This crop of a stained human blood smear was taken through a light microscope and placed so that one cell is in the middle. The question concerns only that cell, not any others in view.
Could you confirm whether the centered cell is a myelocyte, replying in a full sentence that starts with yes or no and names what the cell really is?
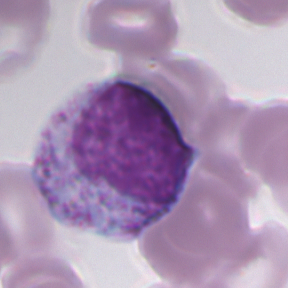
Yes, the cell shown centrally is a myelocyte.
